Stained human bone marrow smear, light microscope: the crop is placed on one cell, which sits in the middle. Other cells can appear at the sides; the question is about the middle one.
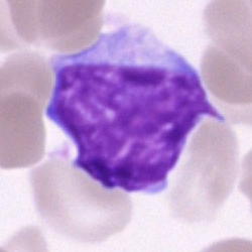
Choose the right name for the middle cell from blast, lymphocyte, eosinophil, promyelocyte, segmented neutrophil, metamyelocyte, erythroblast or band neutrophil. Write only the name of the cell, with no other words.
blast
